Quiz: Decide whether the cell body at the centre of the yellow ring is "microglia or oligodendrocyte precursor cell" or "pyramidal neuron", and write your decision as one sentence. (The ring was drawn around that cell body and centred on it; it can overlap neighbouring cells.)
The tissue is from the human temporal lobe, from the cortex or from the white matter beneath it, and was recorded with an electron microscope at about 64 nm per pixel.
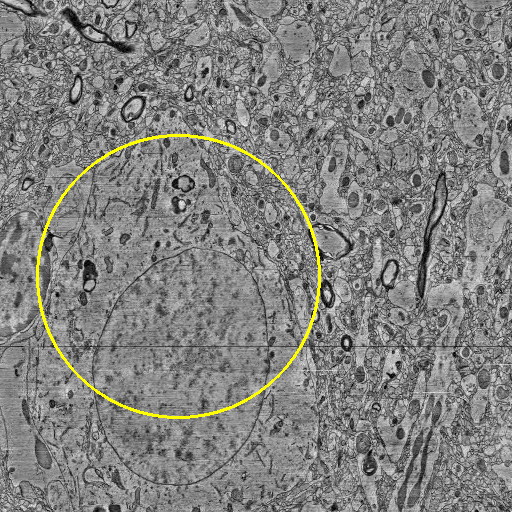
The cell the ring is centred on is a pyramidal neuron.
